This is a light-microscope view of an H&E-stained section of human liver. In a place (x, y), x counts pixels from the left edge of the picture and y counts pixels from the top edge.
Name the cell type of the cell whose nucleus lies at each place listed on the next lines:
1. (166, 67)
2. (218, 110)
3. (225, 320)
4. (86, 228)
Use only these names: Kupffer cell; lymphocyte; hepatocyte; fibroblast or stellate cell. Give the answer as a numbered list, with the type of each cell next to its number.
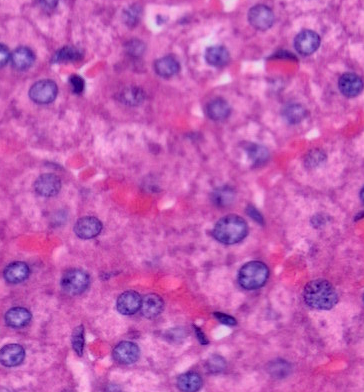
1. hepatocyte
2. hepatocyte
3. fibroblast or stellate cell
4. hepatocyte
